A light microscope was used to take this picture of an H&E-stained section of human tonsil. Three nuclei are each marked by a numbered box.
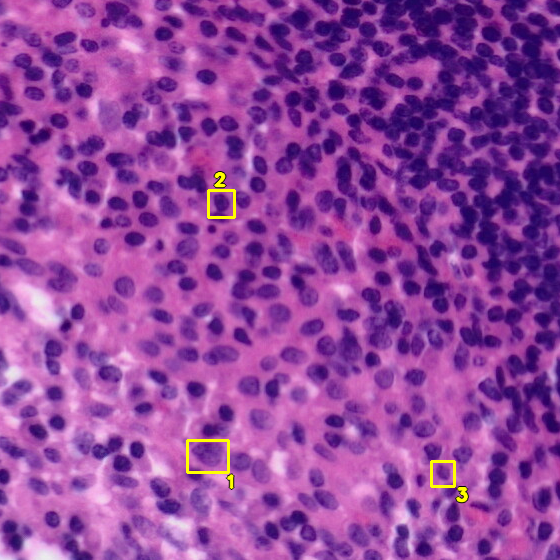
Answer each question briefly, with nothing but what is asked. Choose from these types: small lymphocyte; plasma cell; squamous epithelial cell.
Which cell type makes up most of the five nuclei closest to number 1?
plasma cell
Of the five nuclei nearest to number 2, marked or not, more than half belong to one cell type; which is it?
plasma cell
